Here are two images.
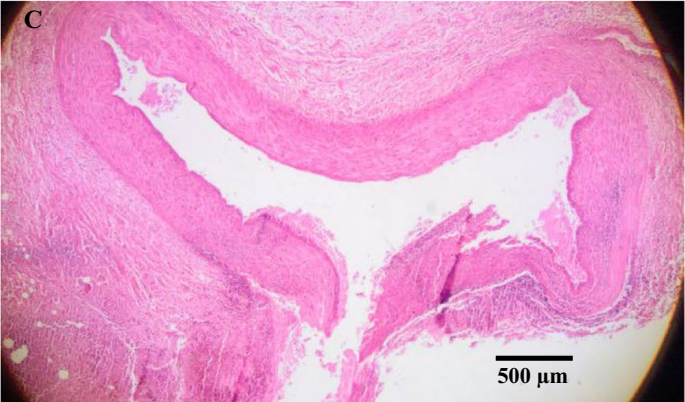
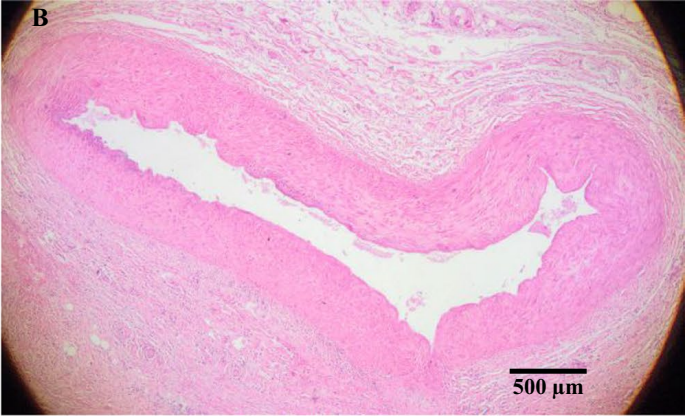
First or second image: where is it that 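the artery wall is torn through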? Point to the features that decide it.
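First image: the wall is broken at its lower part with torn fragments projecting outward. Second image: the wall forms an unbroken ring around the lumen. The answer: the first image.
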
